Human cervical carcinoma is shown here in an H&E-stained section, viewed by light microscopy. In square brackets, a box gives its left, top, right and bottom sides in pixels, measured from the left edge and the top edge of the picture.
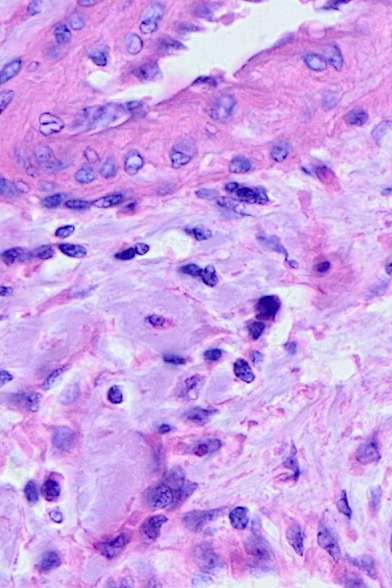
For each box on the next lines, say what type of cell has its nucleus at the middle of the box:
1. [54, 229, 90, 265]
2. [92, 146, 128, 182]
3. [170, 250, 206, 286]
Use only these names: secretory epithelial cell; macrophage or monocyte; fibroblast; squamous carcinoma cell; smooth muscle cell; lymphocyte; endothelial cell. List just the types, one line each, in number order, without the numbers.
lymphocyte
smooth muscle cell
lymphocyte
